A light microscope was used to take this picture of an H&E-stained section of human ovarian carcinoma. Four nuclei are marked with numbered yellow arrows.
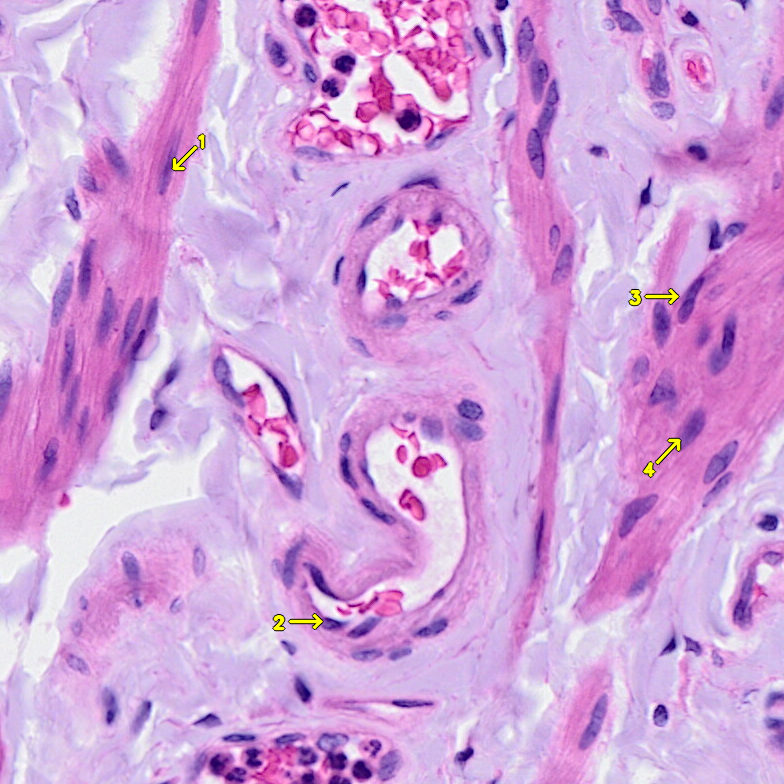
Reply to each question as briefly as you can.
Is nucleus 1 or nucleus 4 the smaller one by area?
1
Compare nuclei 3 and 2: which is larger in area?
3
